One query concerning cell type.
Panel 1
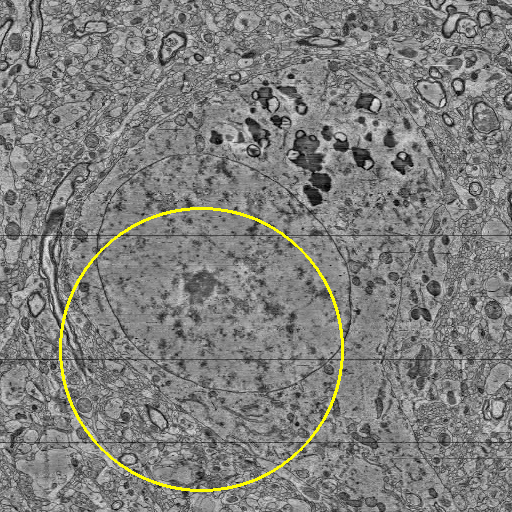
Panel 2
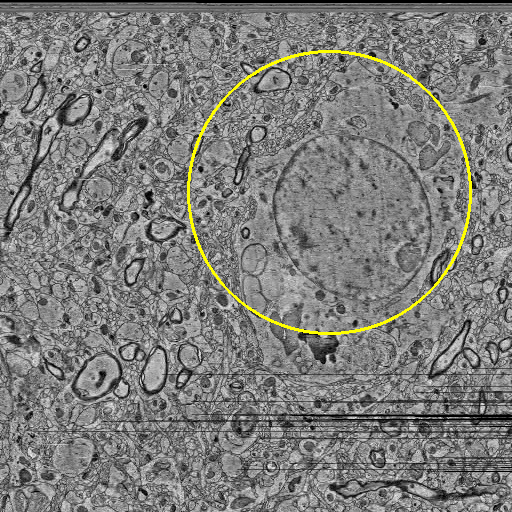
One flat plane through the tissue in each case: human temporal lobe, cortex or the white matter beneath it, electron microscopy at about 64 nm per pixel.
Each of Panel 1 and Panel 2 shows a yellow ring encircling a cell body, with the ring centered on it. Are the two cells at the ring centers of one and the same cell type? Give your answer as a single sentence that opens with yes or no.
No, the cell centered in Panel 1 and the one in Panel 2 are of two types.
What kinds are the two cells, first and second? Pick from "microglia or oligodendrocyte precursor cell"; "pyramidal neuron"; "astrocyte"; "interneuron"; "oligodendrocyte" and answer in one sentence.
The second picture holds an astrocyte in its ring, and the first holds a pyramidal neuron.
